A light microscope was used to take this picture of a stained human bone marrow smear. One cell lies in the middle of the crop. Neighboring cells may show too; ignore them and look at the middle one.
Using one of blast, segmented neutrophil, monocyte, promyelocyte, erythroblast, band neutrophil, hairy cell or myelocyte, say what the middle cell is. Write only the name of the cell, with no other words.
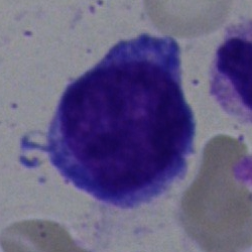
blast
